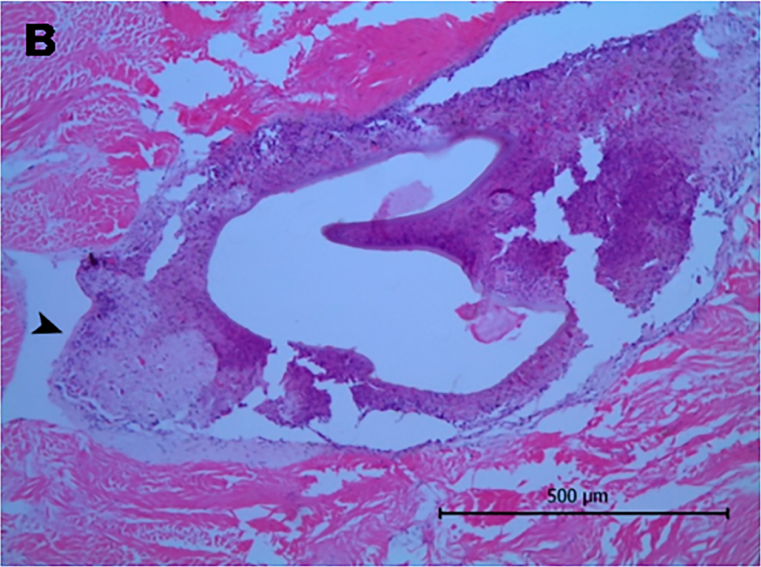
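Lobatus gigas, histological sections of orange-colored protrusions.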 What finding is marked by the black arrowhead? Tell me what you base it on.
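The mass has small dark nuclei in a paler fibrous background. That points to this answer: Granulation process.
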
